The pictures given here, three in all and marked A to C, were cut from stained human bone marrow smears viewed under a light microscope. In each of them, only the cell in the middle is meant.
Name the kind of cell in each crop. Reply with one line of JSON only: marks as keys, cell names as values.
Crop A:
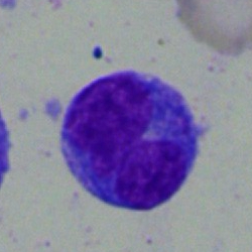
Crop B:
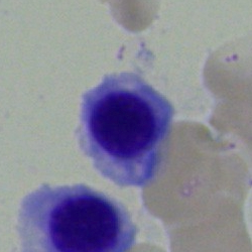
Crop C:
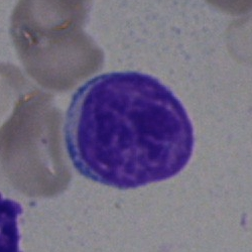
{"A": "blast", "B": "erythroblast", "C": "lymphocyte"}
